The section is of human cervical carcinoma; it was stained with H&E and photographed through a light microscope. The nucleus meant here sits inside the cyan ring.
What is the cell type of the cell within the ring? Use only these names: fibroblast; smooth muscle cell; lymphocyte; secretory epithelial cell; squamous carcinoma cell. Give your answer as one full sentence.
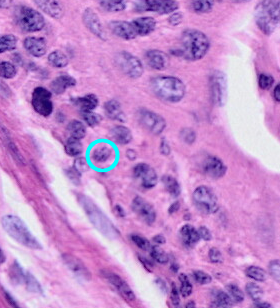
It is as a squamous carcinoma cell that the cell within the ring is classified.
